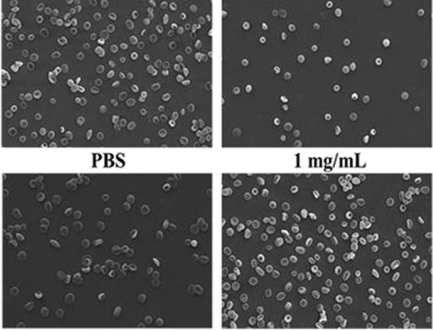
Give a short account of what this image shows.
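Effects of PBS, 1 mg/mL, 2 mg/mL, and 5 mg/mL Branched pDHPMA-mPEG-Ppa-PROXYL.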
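Four grayscale fields of erythrocytes lie scattered over a smooth dark substrate. Each field holds many small, uniform, rounded disc-shaped cells of about the same size. They have no nucleus or processes visible on the surface. Many cells show a brighter raised rim around a flatter centre, fitting the biconcave disc form, and some are seen tilted or edge-on as ovals. The number of cells per field differs, with two of the fields notably sparser than the others.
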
